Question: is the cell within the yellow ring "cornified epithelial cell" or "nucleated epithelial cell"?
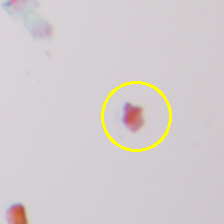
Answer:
cornified epithelial cell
